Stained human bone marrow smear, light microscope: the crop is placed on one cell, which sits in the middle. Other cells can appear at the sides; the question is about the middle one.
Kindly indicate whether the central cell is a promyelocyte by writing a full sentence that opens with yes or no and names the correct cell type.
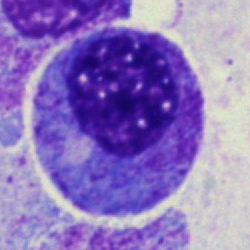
Yes, the cell shown at the crop's centre is a promyelocyte.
